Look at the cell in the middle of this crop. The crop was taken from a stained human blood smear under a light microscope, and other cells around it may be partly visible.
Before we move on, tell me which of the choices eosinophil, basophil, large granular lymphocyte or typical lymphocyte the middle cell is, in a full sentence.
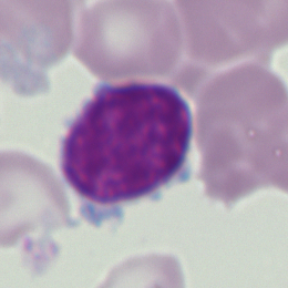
The cell the crop is centered on is a typical lymphocyte.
